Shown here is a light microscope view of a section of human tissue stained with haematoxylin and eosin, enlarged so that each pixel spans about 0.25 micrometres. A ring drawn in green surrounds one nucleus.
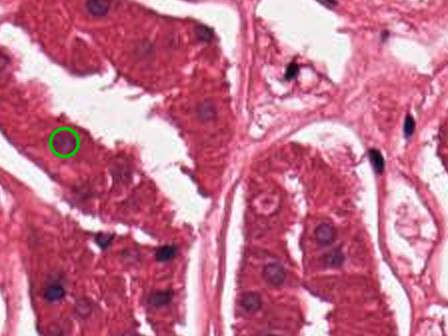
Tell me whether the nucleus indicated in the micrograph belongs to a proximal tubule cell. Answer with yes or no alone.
yes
